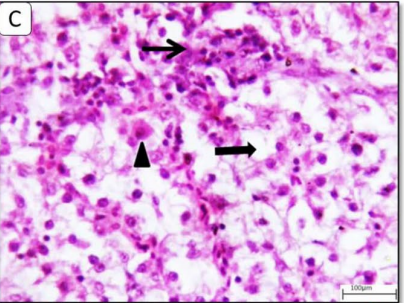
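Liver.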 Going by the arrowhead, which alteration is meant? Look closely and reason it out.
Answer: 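Necrotic hepatocytes. The marked cell has a dense, dark-staining nucleus and intensely eosinophilic cytoplasm. It stands out from the surrounding pale, vacuolated cells.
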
